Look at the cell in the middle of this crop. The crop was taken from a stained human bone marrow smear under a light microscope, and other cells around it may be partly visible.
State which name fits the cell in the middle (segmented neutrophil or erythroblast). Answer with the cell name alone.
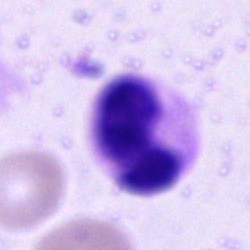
segmented neutrophil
